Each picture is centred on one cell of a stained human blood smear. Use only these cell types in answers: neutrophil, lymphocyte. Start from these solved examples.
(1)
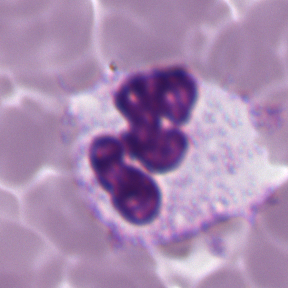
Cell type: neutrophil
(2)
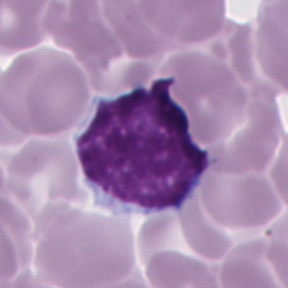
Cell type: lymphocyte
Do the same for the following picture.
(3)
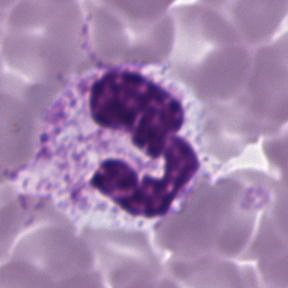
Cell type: neutrophil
